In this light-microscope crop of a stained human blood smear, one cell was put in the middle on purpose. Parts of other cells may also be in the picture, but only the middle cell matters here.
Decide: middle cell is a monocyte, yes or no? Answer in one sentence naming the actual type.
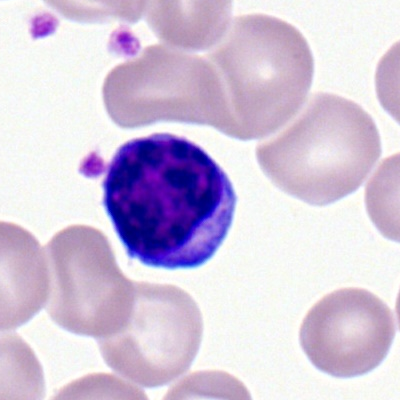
No, the central cell is not a monocyte; it is a lymphocyte.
